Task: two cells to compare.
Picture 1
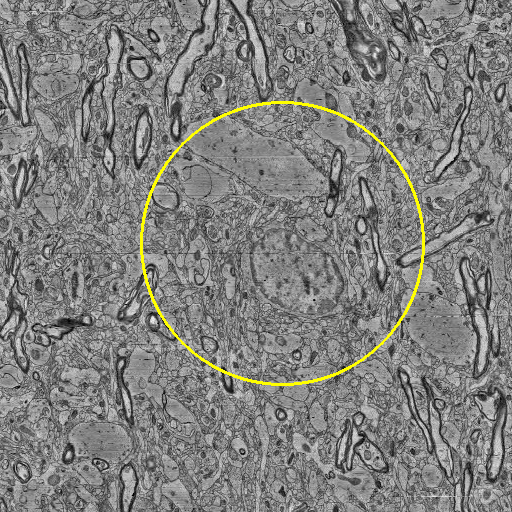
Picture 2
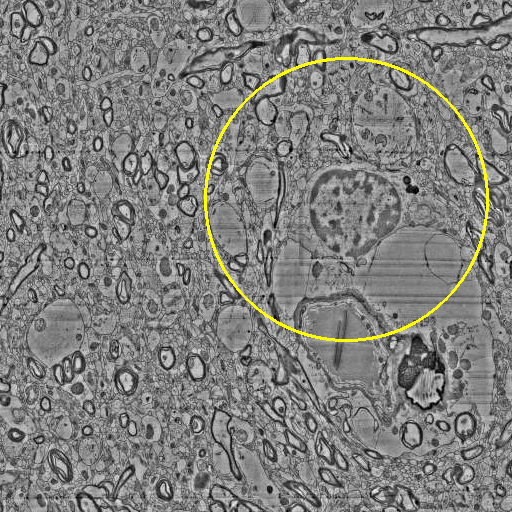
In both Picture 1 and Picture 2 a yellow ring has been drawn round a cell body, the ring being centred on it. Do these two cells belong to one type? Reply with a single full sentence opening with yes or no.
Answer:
No, the two cells at the ring centres in Picture 1 and Picture 2 are of two types.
